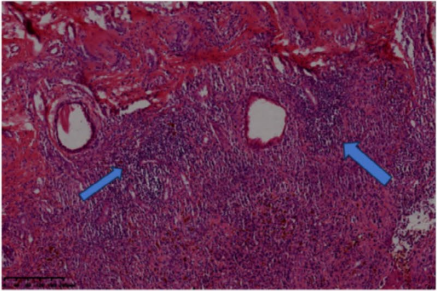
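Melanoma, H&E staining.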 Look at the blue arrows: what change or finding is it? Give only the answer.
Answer: lymphocyte aggregation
